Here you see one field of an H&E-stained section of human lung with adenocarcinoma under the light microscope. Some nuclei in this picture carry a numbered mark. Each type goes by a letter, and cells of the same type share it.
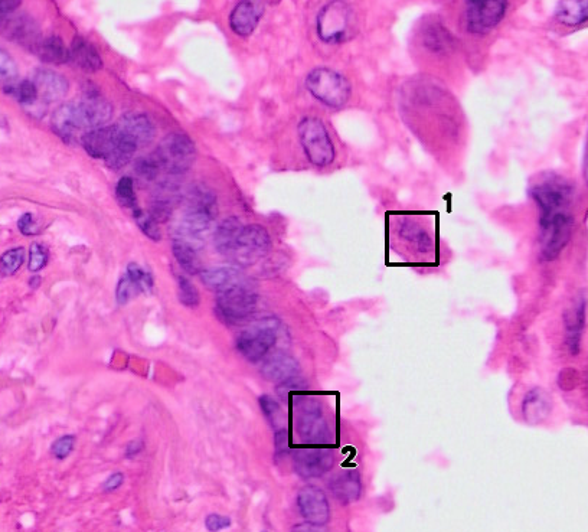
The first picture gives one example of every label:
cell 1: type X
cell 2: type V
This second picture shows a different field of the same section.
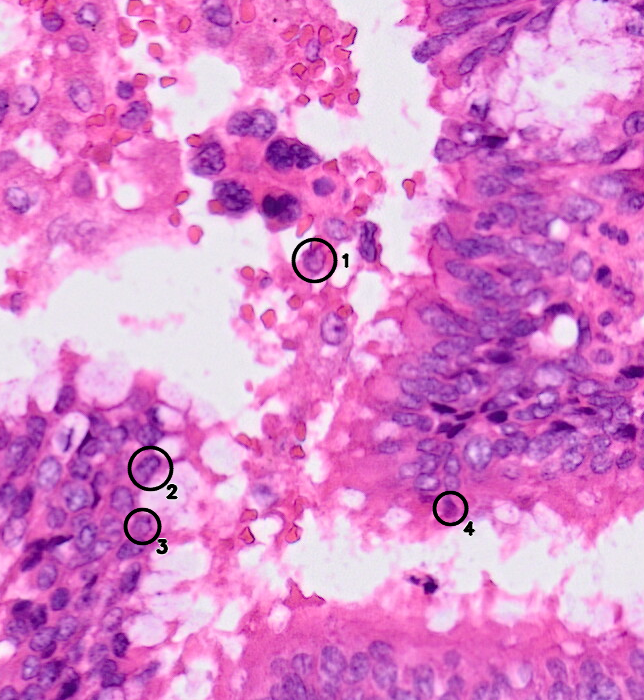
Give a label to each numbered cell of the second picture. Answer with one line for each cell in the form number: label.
1: type X
2: type V
3: type V
4: type V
